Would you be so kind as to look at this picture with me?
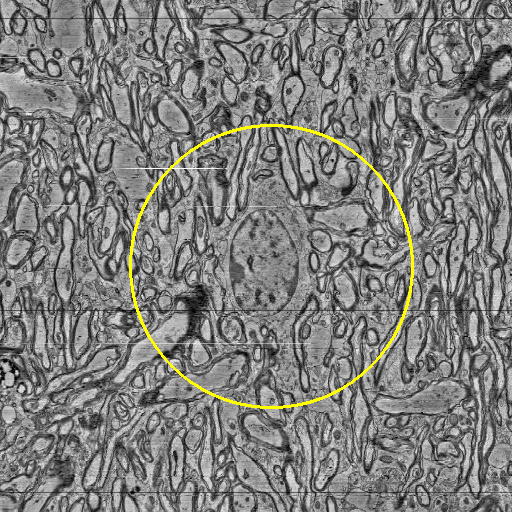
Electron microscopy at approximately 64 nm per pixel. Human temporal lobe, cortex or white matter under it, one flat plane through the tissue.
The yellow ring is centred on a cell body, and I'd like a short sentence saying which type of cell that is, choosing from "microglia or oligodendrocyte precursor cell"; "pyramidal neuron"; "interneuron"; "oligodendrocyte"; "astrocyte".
The cell body in the ring belongs to a microglial cell or oligodendrocyte precursor cell.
